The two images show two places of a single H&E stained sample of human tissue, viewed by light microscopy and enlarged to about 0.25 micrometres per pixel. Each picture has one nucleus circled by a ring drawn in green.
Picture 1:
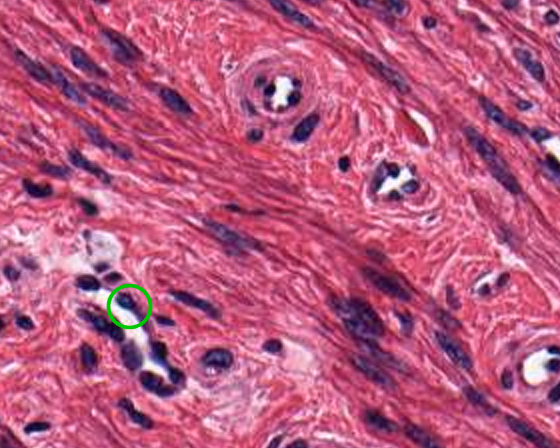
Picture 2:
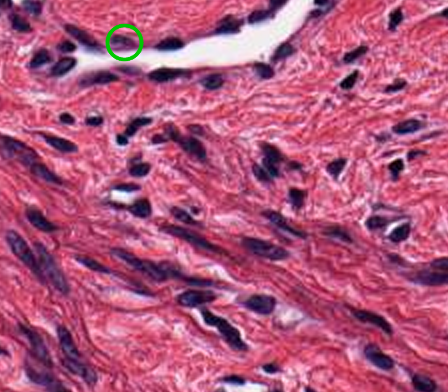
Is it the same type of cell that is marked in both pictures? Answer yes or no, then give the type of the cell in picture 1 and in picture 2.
Yes, both are endothelial cells.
